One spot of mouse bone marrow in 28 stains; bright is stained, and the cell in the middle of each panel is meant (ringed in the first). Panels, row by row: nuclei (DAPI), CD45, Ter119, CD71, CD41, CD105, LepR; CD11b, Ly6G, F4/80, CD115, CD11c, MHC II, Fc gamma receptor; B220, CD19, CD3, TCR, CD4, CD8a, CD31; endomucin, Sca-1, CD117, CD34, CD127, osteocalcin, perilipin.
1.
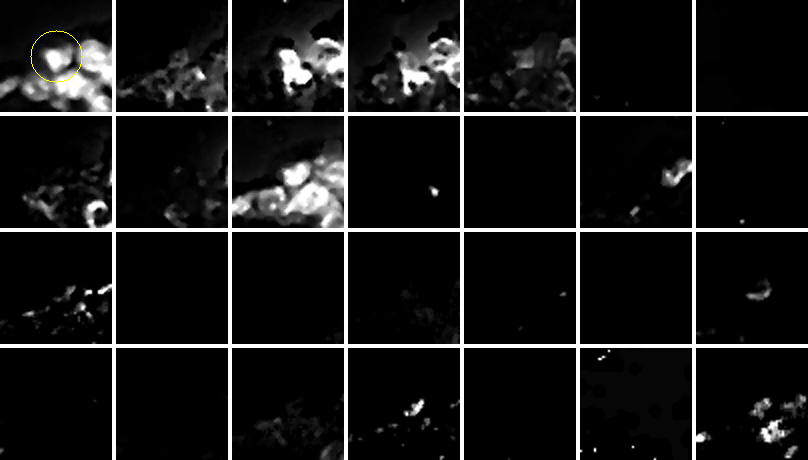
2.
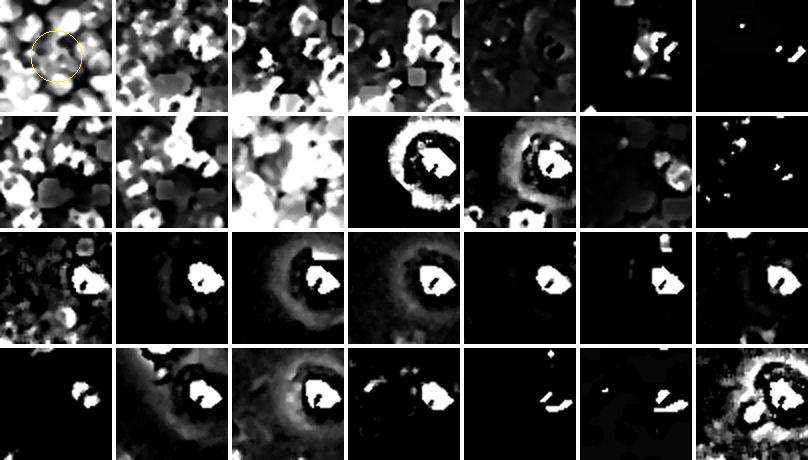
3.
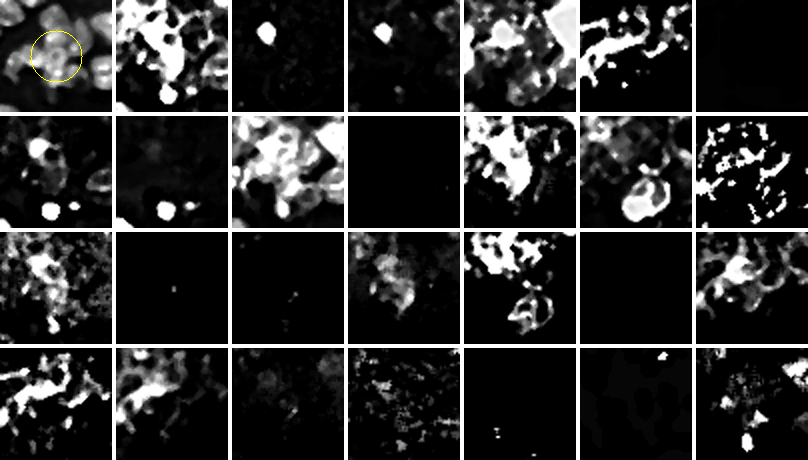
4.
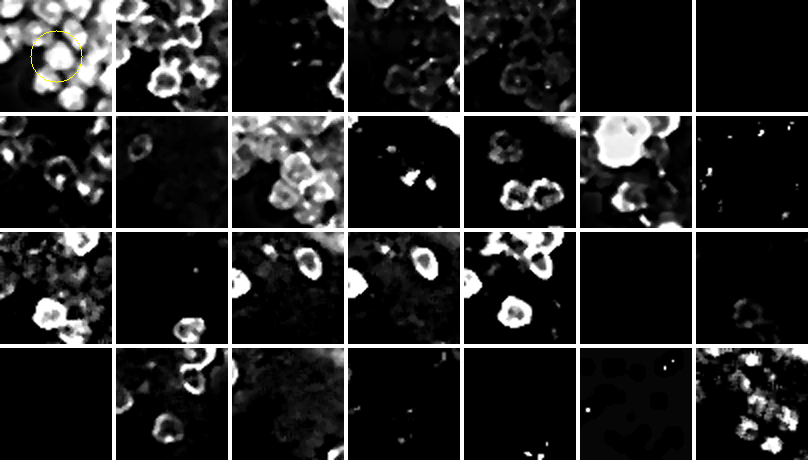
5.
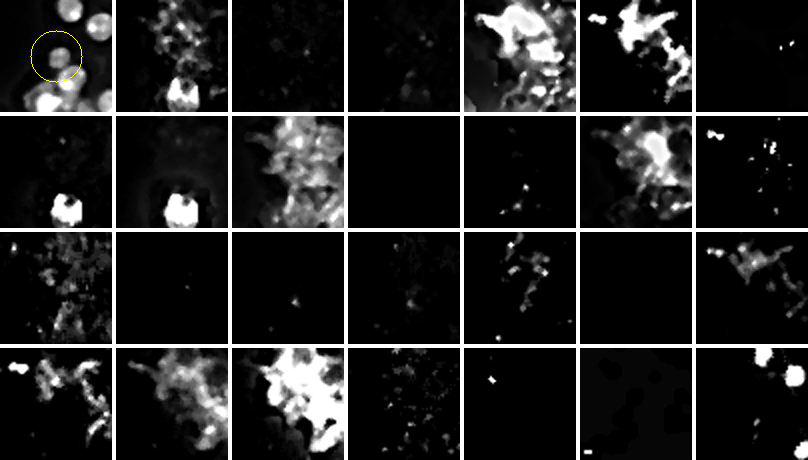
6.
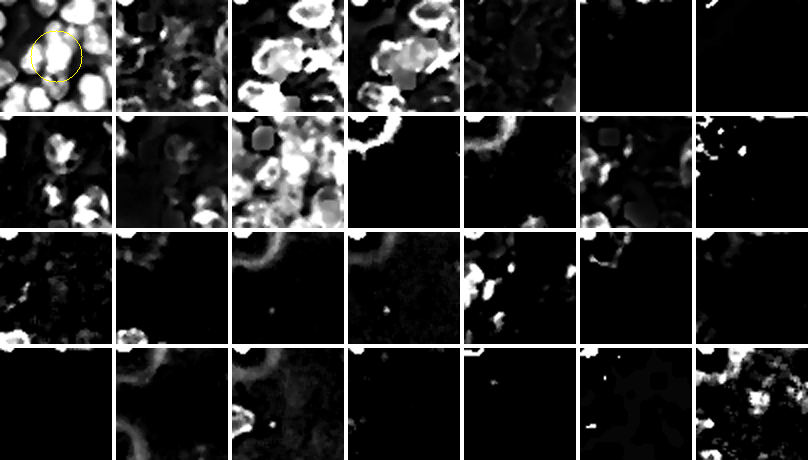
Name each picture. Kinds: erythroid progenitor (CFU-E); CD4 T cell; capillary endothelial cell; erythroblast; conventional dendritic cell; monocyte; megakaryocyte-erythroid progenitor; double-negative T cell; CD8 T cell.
Picture 1: erythroblast
Picture 2: erythroid progenitor (CFU-E)
Picture 3: conventional dendritic cell
Picture 4: monocyte
Picture 5: megakaryocyte-erythroid progenitor
Picture 6: erythroblast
